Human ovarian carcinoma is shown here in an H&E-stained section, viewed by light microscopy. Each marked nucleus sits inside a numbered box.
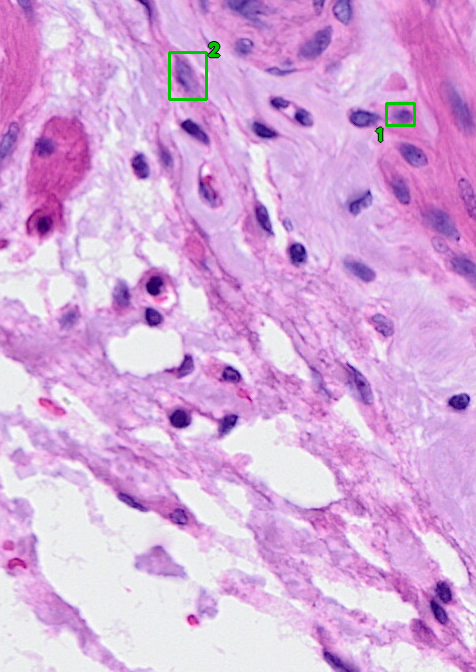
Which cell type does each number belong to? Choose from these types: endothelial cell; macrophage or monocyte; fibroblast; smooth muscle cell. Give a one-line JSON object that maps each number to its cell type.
{"1": "smooth muscle cell", "2": "endothelial cell"}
